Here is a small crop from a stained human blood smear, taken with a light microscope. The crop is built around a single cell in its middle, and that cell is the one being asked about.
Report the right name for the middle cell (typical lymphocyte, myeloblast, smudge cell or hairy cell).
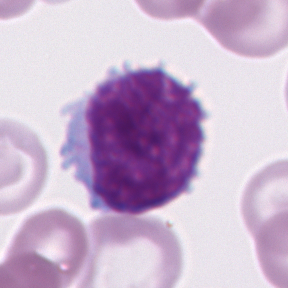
myeloblast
